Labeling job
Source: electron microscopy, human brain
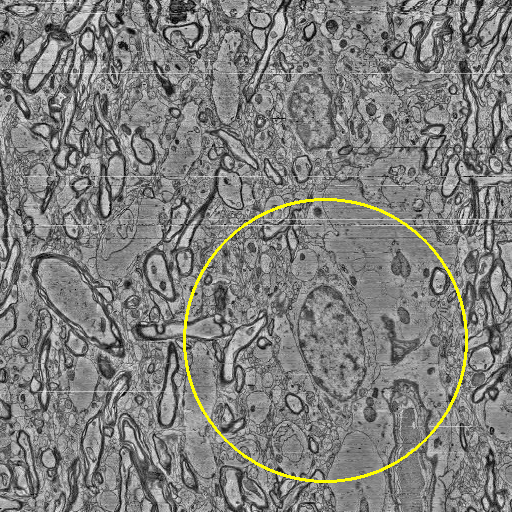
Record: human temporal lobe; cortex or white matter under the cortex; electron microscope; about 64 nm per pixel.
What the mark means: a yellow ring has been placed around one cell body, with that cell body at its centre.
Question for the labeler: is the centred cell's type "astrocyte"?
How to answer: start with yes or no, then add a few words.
No, its type is another one.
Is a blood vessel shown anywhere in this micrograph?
Yes, one appears.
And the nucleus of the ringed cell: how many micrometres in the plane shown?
At approximately 8 by 4 micrometres, the nucleus is clearly longer than it is wide in this plane.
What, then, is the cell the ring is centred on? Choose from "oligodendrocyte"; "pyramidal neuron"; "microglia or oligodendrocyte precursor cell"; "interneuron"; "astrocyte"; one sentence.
The ring holds a microglial cell or oligodendrocyte precursor cell at its centre.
